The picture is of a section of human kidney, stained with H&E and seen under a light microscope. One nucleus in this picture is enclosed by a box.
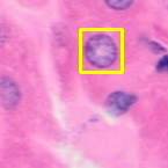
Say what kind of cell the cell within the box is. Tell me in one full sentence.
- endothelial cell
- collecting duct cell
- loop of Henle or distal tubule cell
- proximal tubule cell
In this tissue sample, the cell within the box is a proximal tubule cell.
